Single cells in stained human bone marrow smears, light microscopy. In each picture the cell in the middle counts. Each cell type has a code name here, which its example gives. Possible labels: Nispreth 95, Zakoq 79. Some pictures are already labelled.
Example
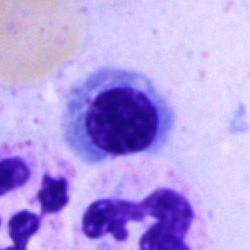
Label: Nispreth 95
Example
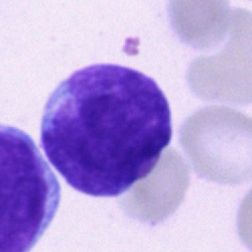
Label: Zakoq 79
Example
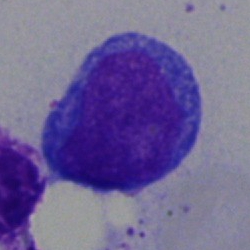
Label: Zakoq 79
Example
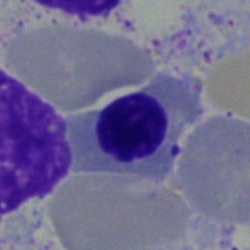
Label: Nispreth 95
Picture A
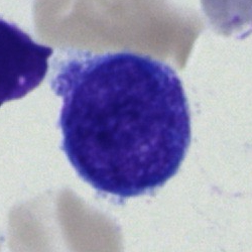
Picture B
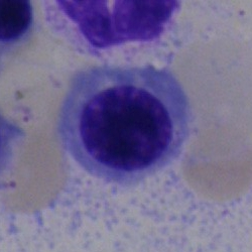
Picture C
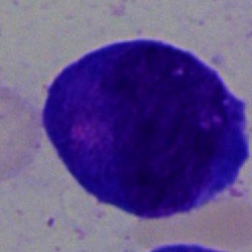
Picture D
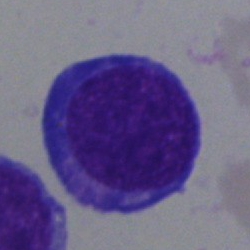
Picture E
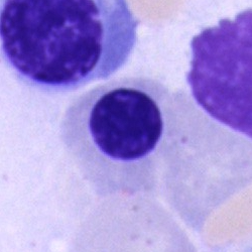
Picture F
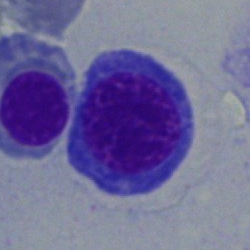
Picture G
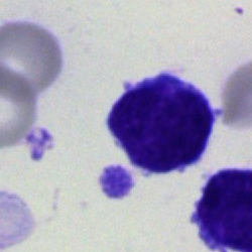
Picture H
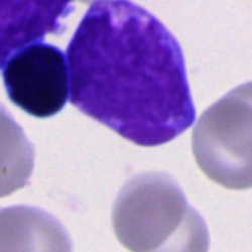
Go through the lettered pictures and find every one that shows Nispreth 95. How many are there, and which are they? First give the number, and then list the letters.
3: B, E, F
